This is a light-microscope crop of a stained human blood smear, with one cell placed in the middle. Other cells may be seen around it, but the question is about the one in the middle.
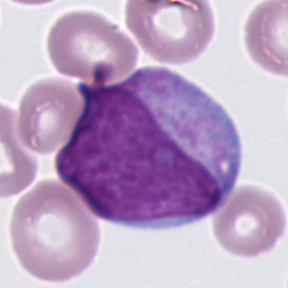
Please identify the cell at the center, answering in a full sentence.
In short, the cell at the center is an atypical promyelocyte.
